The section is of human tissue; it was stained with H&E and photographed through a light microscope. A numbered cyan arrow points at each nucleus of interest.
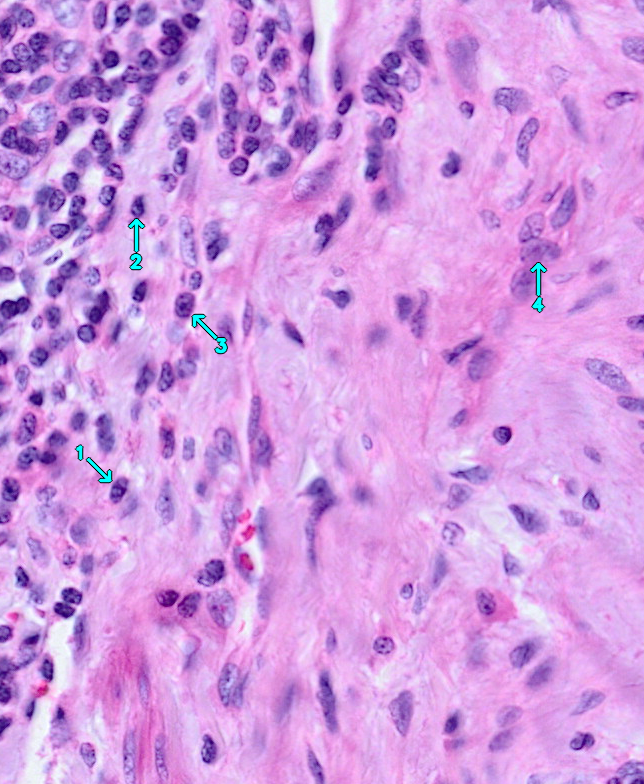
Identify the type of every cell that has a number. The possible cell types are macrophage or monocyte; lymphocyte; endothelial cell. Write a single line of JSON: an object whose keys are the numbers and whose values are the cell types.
{"1": "lymphocyte", "2": "lymphocyte", "3": "lymphocyte", "4": "endothelial cell"}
